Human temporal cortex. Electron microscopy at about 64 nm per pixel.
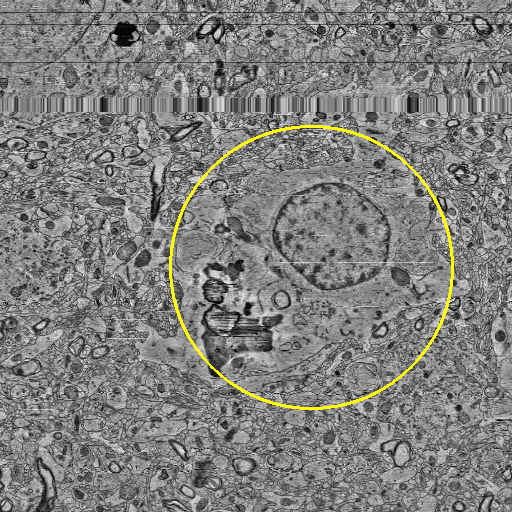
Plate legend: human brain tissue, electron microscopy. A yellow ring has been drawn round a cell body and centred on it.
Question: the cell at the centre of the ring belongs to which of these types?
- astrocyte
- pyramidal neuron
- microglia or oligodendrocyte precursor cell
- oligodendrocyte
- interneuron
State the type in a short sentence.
The cell in the middle of the ring is an astrocyte.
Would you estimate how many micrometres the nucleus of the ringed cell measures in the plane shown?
The nucleus is about 7 micrometres across in this plane.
